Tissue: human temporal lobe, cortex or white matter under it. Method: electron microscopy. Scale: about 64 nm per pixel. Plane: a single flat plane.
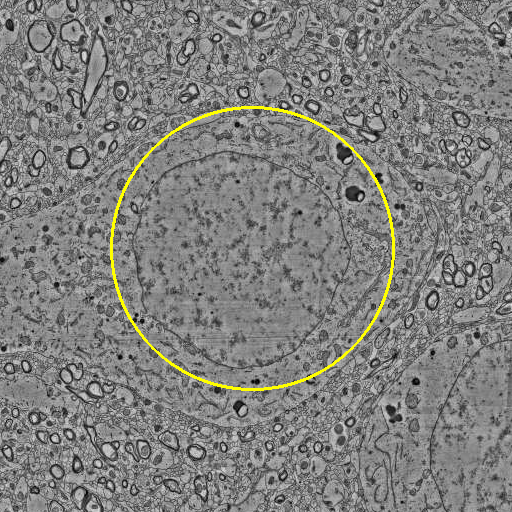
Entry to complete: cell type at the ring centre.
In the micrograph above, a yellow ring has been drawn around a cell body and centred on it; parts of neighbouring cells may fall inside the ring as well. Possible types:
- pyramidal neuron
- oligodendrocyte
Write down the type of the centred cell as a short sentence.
The ring is centred on a pyramidal neuron.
